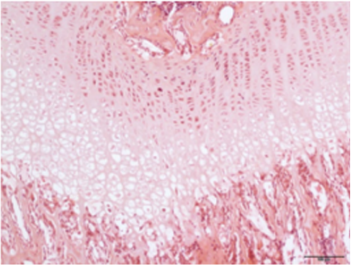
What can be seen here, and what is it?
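This is a growth plate of a long bone in which chondrocytes are lined up in longitudinal columns within pink cartilage matrix. Toward the bottom the chondrocytes swell into large, pale, hypertrophic cells, beneath which lies red-stained trabecular bone with marrow. Above the cartilage, an area of bone and marrow can be seen.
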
